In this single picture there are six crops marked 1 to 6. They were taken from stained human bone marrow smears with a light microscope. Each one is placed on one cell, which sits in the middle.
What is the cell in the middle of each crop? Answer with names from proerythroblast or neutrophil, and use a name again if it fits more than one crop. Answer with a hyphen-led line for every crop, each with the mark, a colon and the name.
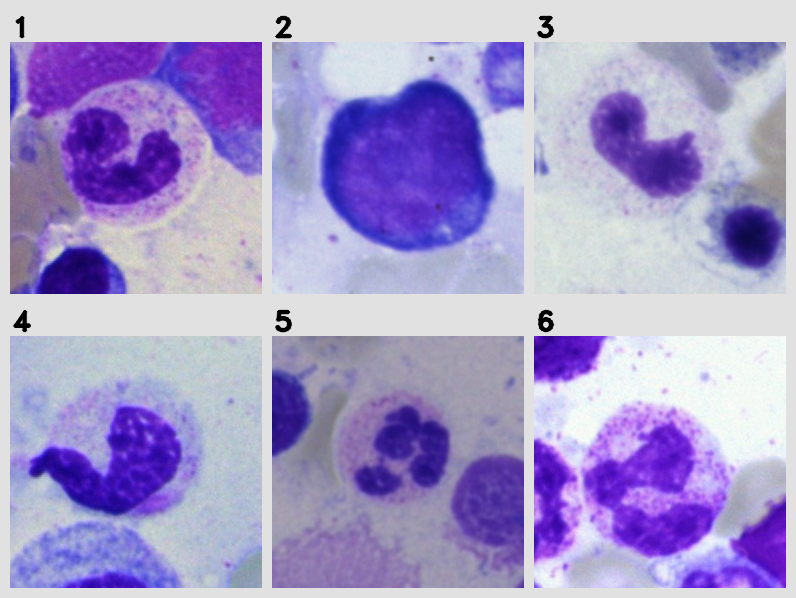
- 1: neutrophil
- 2: proerythroblast
- 3: neutrophil
- 4: neutrophil
- 5: neutrophil
- 6: neutrophil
